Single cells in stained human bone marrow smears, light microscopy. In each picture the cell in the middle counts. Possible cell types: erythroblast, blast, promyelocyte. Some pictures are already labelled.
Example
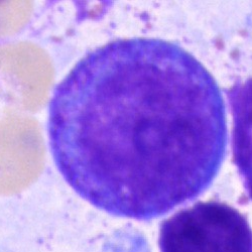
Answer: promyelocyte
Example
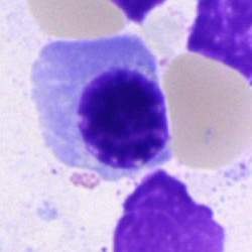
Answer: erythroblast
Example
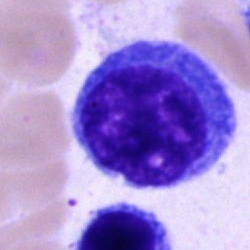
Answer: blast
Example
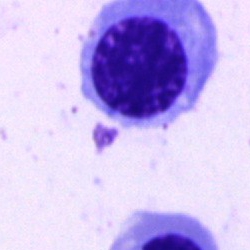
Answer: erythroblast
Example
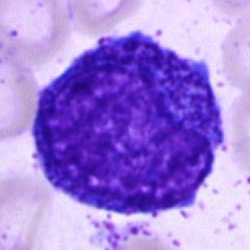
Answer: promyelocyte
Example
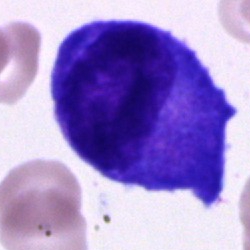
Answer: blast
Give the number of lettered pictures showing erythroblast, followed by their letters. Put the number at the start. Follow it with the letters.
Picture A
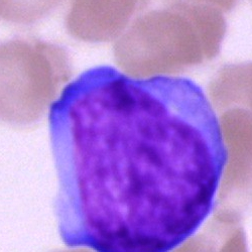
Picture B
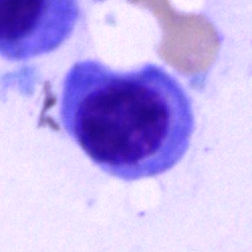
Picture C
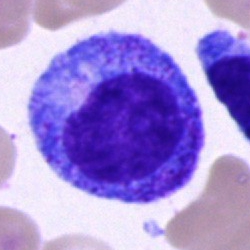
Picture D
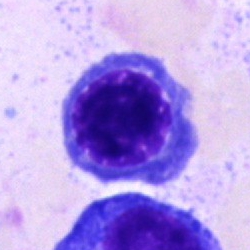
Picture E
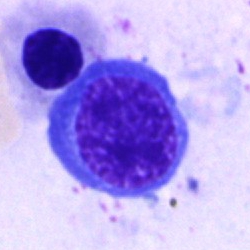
3: B, D, E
